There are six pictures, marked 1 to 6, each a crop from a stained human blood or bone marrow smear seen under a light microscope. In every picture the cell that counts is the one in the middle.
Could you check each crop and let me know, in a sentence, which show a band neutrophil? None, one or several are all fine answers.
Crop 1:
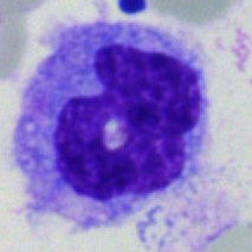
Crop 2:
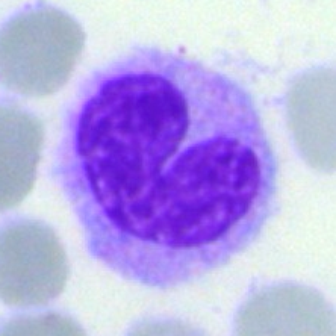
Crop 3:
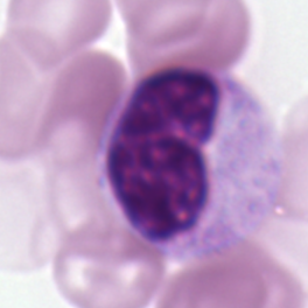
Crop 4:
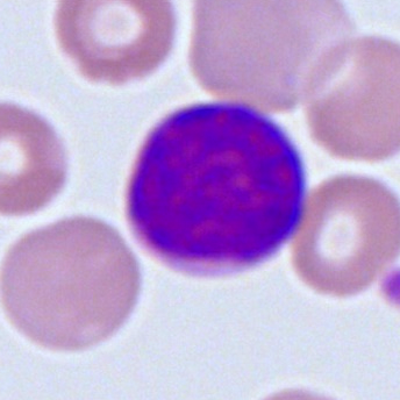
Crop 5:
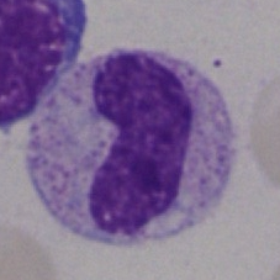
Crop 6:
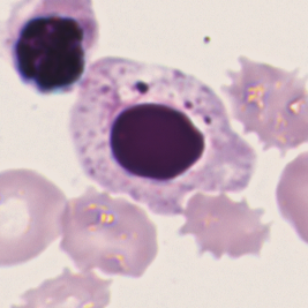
In crops 2, 3 and 5, the cells centred in the field are band neutrophils.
